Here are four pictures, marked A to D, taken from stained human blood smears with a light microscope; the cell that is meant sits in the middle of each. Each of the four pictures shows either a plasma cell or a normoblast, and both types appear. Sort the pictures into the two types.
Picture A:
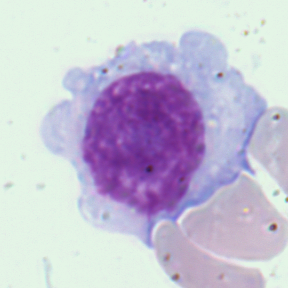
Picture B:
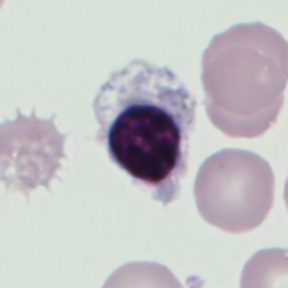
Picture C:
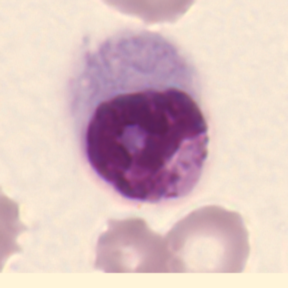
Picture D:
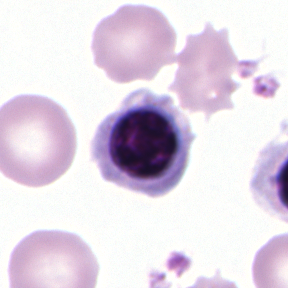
A: plasma cell
B: normoblast
C: plasma cell
D: normoblast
